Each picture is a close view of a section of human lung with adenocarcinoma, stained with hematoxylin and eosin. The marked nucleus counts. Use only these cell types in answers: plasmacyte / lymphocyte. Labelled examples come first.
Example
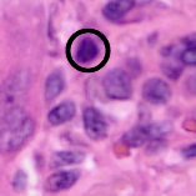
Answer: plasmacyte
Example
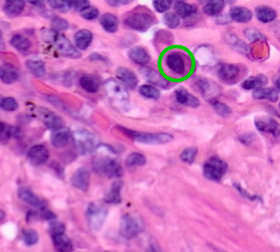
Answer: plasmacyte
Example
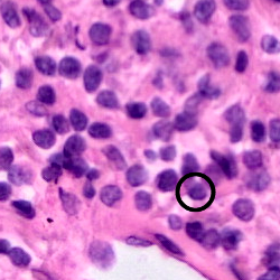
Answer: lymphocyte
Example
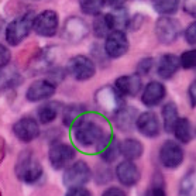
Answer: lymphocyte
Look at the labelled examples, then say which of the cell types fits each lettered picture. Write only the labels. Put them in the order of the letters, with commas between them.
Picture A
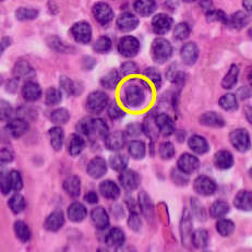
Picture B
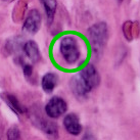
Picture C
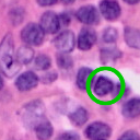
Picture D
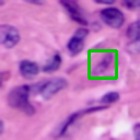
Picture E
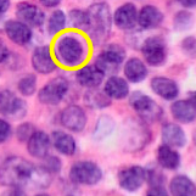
lymphocyte, lymphocyte, lymphocyte, plasmacyte, lymphocyte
